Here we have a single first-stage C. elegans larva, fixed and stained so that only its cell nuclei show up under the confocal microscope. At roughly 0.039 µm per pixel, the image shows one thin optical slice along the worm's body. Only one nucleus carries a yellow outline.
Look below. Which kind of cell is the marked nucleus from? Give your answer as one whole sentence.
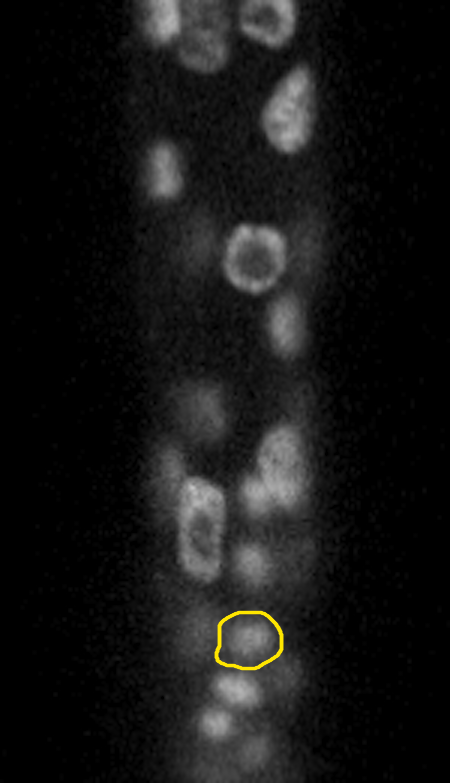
The nucleus comes from a neuron.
